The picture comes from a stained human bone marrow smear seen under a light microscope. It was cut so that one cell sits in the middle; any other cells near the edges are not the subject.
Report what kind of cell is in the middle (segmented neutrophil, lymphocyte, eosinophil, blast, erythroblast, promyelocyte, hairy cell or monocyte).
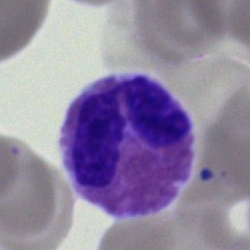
eosinophil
